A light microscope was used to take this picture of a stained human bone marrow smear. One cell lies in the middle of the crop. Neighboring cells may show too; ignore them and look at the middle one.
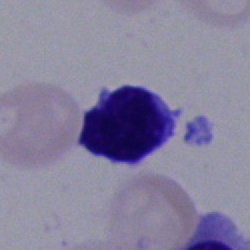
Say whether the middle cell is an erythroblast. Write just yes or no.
no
